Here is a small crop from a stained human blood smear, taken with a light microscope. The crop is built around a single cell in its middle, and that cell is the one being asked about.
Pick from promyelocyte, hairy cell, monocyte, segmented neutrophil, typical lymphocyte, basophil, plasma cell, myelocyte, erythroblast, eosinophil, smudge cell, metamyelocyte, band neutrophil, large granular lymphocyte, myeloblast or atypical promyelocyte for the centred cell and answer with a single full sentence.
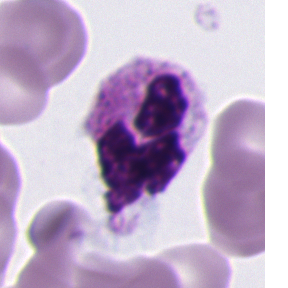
Classified as a segmented neutrophil is the cell in the middle of this crop.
